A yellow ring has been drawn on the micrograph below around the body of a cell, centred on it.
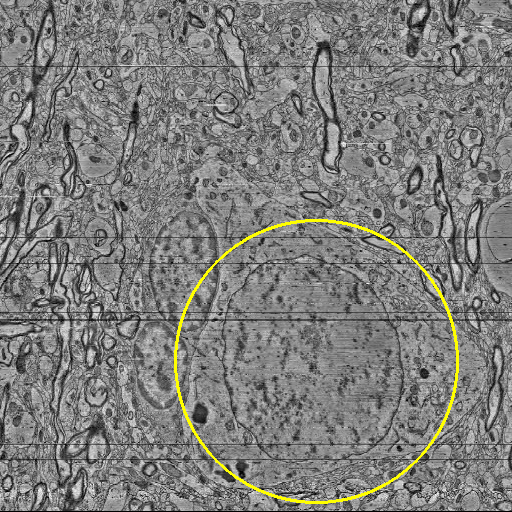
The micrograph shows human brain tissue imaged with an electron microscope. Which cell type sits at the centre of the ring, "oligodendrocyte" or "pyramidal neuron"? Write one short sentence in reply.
The cell sitting at the centre of the ring is a pyramidal neuron.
